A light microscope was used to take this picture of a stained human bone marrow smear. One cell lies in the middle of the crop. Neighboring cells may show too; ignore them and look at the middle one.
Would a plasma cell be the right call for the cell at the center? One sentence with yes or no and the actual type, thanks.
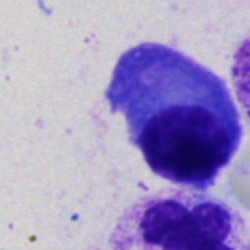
Yes, the cell in the centre is a plasma cell.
